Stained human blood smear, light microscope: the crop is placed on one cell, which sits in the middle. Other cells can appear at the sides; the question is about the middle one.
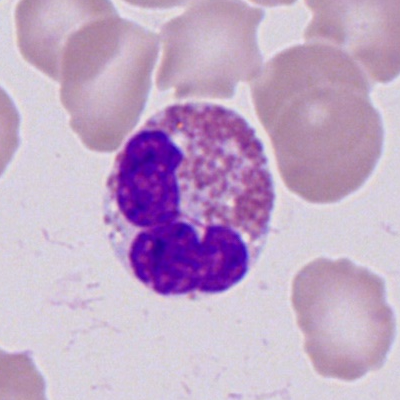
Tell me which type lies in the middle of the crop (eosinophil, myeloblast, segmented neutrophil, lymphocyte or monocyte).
eosinophil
